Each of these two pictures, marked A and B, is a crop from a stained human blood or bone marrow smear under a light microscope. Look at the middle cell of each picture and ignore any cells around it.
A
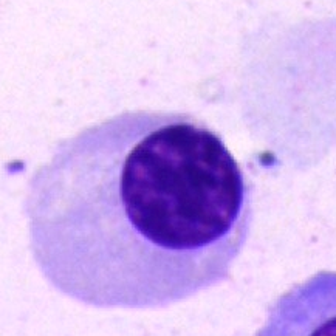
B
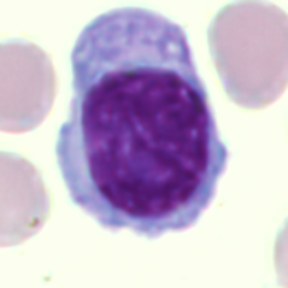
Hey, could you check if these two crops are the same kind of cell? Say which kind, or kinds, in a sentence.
No, crop A has a normoblast in the middle, and crop B has a plasma cell.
